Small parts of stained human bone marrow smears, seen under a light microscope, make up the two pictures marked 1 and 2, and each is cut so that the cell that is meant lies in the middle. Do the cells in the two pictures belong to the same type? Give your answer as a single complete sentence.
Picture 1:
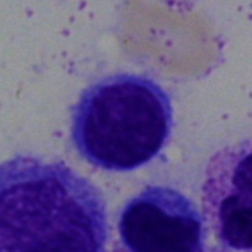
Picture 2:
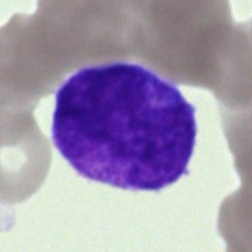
No, picture 1 shows a lymphocyte and picture 2 shows a blast.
